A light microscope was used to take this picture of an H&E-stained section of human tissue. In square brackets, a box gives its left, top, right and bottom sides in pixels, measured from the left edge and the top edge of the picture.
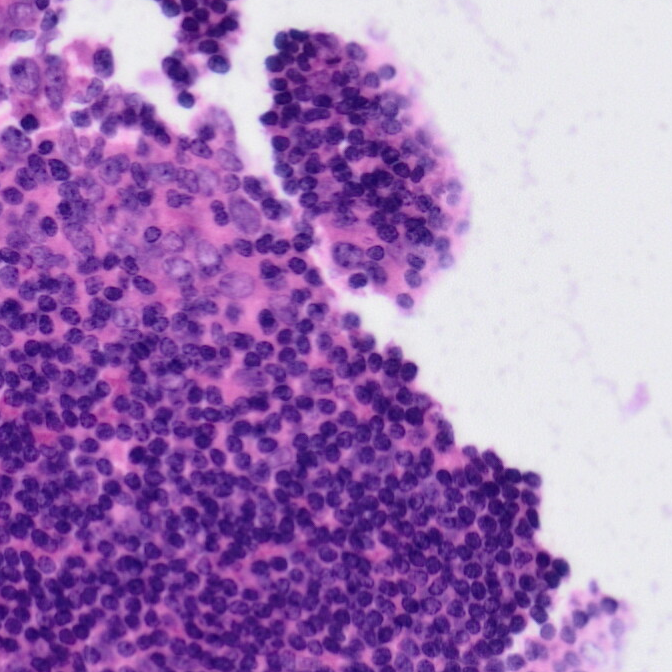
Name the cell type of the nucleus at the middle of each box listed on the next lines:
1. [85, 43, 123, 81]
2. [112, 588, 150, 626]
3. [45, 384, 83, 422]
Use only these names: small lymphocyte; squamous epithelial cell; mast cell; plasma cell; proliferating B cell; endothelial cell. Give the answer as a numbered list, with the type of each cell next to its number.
1. proliferating B cell
2. small lymphocyte
3. small lymphocyte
